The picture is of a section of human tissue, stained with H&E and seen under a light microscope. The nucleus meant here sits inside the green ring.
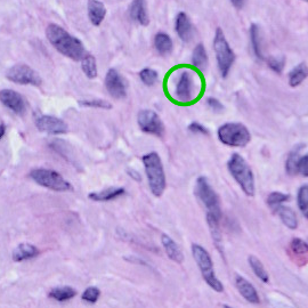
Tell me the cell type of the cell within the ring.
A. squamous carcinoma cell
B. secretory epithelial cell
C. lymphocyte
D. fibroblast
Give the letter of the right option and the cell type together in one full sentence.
It is option D that is correct, the cell within the ring being a fibroblast.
